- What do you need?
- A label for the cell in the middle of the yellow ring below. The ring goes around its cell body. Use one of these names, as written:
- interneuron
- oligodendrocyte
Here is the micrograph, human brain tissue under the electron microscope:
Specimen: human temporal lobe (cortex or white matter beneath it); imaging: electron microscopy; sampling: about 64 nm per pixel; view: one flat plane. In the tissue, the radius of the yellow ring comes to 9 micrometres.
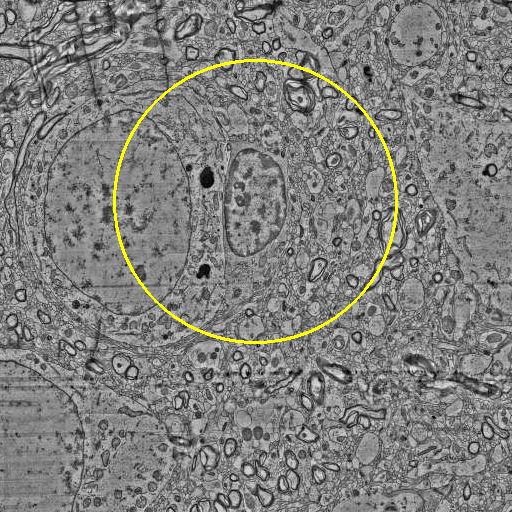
oligodendrocyte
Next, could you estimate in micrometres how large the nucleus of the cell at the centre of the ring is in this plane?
In this plane, approximately 7 by 4 micrometers.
